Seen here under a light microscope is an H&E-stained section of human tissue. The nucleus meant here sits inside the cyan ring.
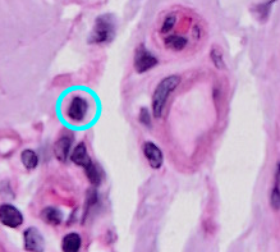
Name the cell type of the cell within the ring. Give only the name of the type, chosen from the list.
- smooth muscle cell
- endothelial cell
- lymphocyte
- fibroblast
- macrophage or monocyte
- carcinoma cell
lymphocyte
